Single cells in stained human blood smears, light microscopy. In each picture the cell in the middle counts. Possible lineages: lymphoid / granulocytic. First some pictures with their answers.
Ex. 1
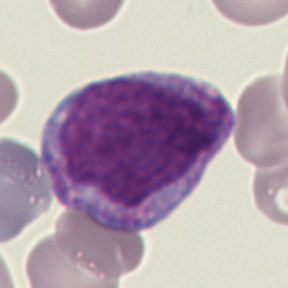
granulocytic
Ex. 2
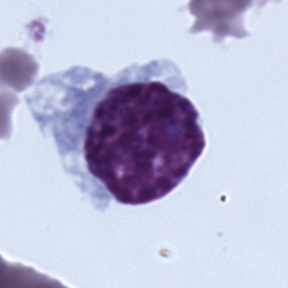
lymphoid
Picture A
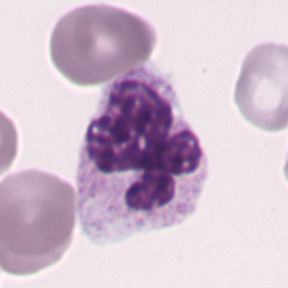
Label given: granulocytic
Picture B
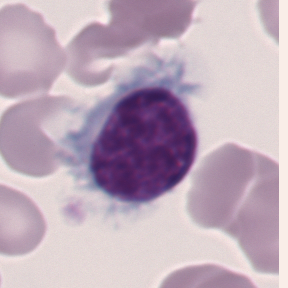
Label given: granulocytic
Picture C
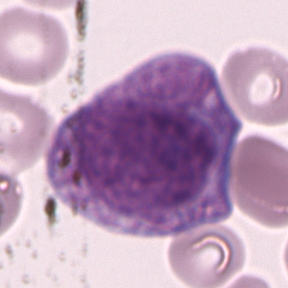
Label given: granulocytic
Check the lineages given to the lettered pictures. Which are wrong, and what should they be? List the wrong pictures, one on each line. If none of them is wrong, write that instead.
B: change granulocytic to lymphoid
